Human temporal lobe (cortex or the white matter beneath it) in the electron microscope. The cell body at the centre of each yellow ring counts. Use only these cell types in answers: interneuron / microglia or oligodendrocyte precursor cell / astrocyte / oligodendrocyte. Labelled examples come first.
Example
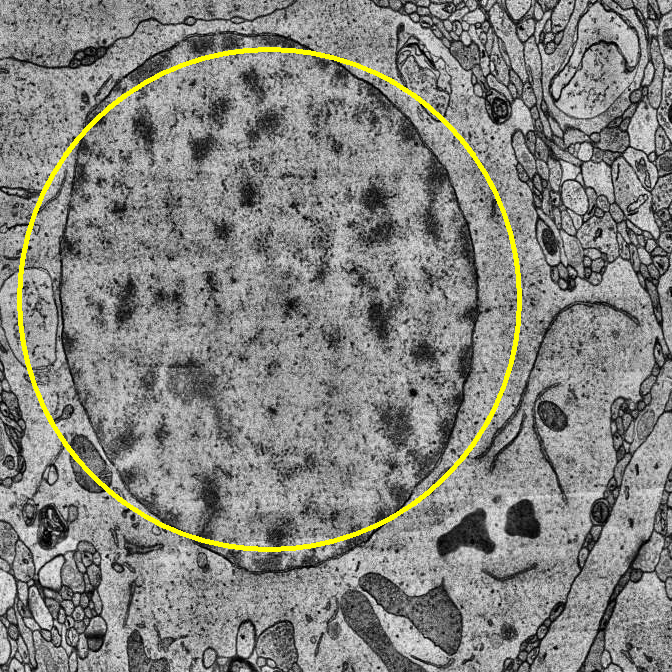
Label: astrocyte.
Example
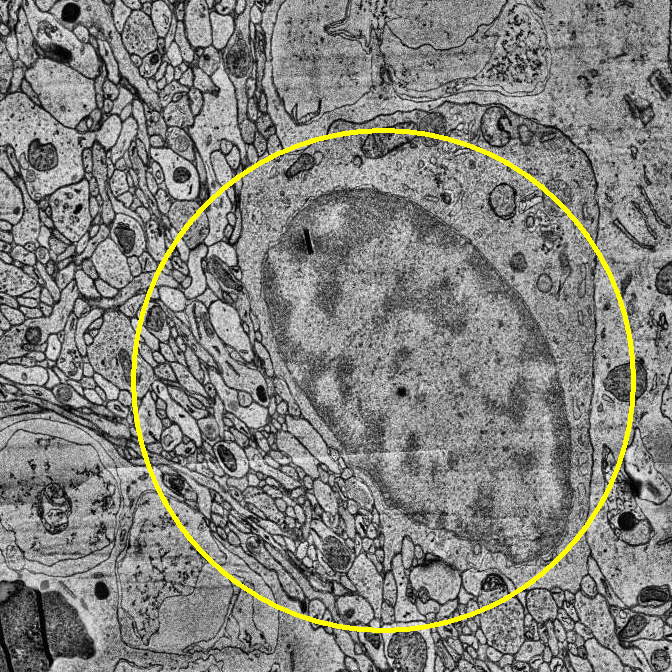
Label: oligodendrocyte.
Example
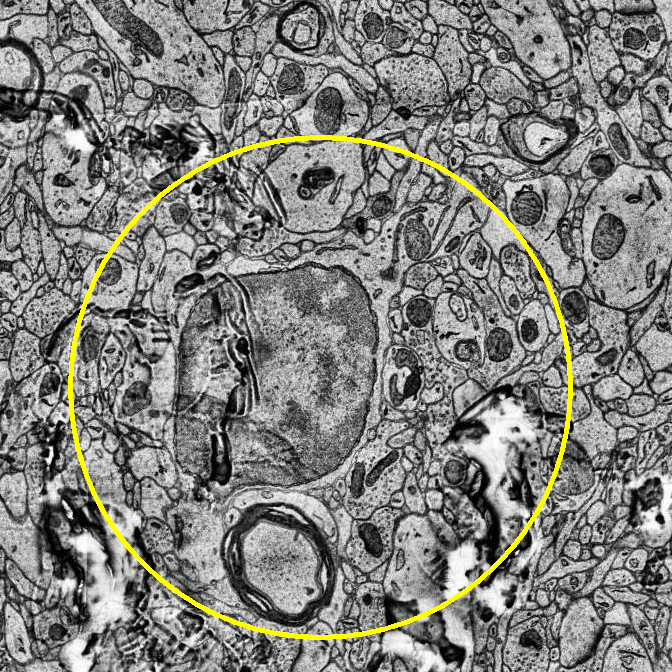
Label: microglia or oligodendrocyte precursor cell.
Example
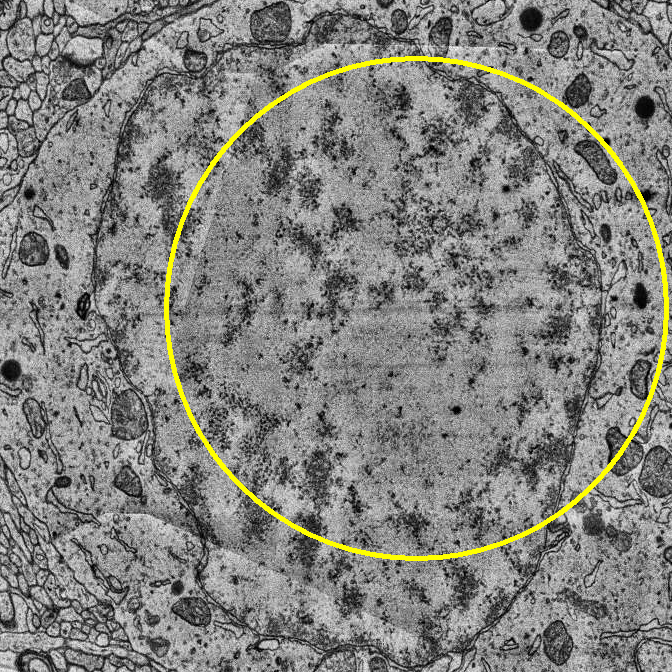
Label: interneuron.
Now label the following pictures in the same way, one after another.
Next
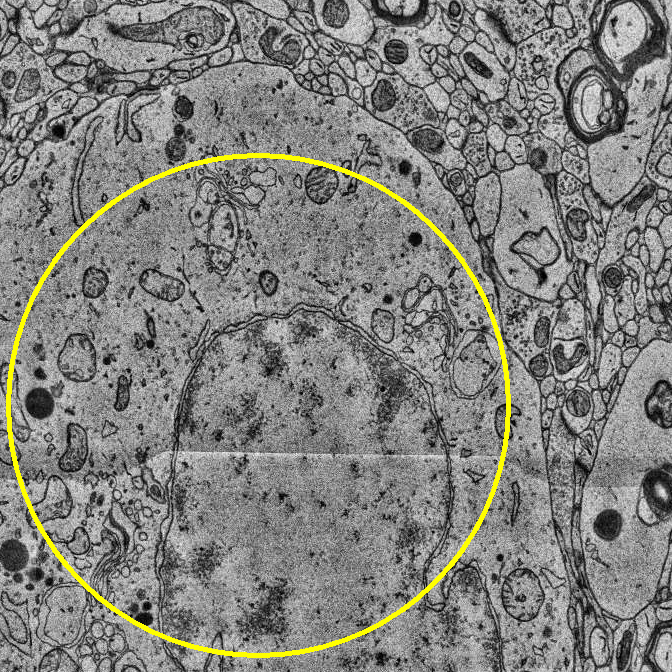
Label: interneuron.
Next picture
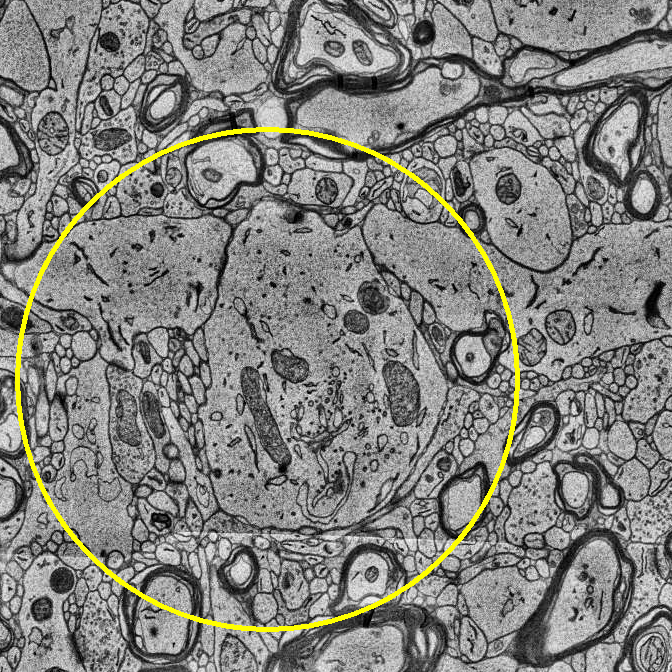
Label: microglia or oligodendrocyte precursor cell.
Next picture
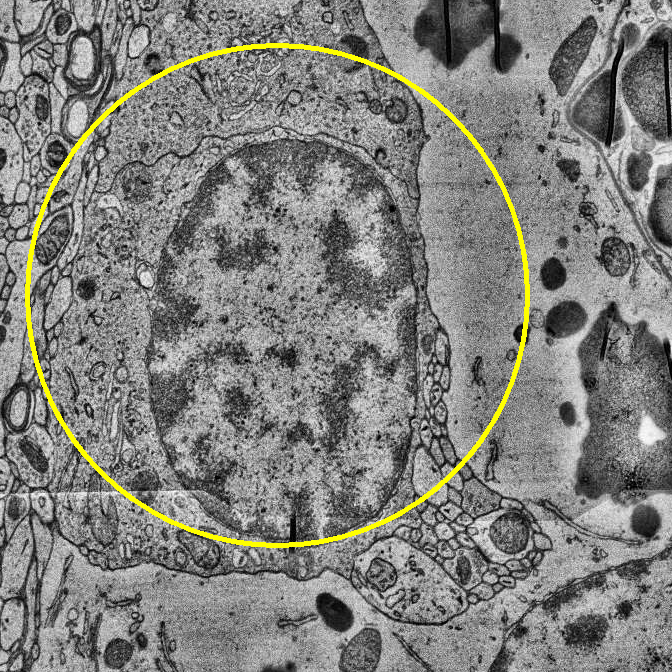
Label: oligodendrocyte.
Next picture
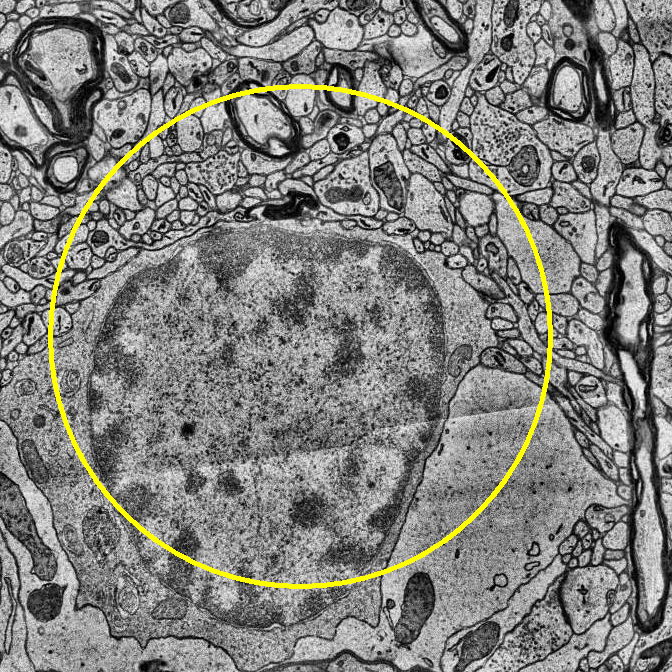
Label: oligodendrocyte.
